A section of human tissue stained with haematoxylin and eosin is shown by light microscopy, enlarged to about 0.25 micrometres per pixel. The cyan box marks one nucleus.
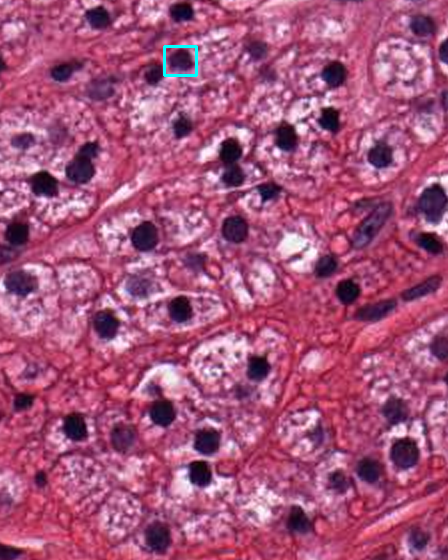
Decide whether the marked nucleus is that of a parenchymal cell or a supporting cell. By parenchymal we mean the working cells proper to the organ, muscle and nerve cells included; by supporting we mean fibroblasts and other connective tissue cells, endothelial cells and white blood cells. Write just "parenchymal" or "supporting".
parenchymal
